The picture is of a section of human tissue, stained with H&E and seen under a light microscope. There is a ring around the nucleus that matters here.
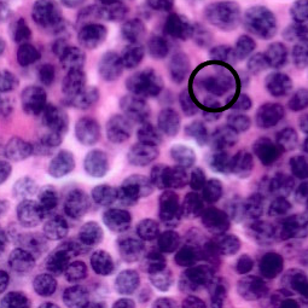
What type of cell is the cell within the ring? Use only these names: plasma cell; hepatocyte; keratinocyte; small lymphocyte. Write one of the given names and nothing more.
small lymphocyte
